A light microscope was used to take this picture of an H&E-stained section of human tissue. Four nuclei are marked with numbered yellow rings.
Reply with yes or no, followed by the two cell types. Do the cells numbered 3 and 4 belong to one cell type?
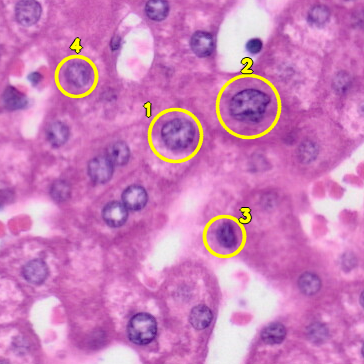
No, cell 3 is a fibroblast or stellate cell and cell 4 is a hepatocyte.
